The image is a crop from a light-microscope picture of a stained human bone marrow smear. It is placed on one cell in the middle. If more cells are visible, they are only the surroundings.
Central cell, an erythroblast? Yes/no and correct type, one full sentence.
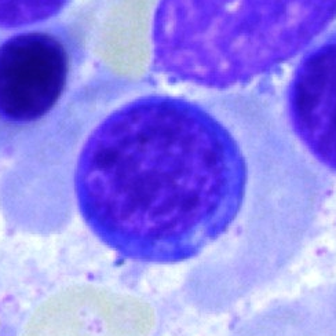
No, the central cell is a lymphocyte, not an erythroblast.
